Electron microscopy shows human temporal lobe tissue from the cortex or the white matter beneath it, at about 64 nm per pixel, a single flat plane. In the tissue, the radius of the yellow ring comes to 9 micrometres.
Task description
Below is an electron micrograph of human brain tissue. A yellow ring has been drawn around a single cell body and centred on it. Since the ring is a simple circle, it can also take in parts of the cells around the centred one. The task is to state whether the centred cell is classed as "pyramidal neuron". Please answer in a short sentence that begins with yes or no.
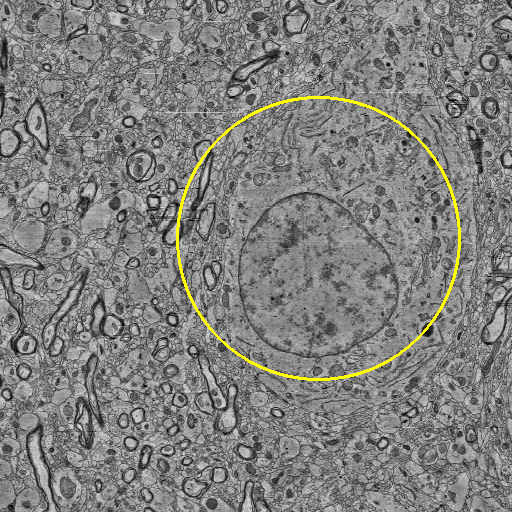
No, the centred cell is classed otherwise.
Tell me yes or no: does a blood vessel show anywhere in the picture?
No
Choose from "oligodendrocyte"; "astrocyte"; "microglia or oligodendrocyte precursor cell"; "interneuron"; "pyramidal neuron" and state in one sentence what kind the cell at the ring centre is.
So the cell at the centre is an interneuron.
